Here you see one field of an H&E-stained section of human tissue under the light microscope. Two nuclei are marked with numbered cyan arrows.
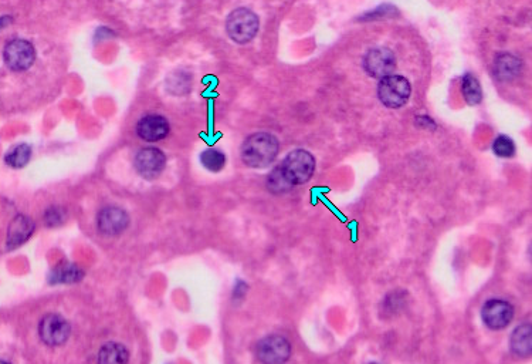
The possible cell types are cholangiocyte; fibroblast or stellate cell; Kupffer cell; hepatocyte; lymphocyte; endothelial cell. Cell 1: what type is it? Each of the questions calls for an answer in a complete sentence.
The cell bearing label 1 corresponds to a hepatocyte.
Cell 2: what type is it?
Cell number 2 in this section is a lymphocyte.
